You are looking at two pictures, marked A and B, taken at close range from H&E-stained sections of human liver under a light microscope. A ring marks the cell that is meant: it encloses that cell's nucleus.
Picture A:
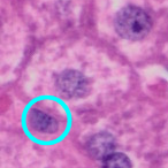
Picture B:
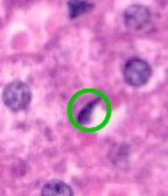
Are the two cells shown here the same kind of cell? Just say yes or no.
yes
